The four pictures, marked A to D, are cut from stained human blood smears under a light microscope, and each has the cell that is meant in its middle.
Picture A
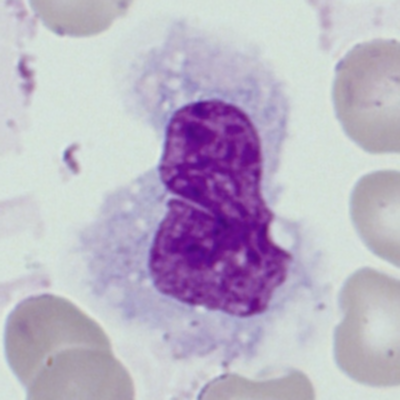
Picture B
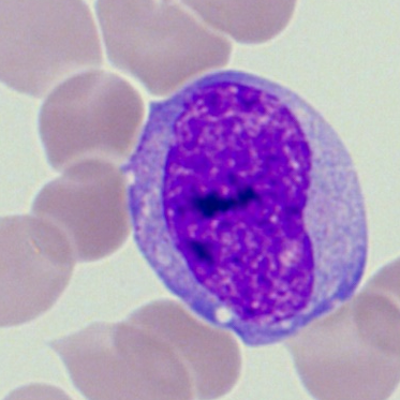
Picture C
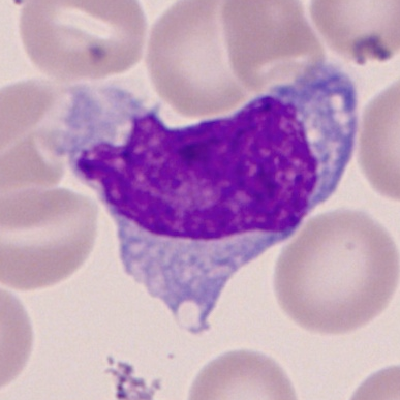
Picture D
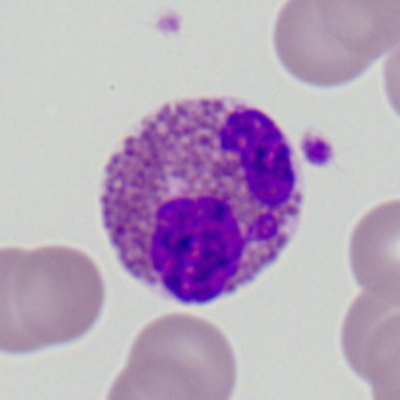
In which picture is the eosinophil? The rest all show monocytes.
D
